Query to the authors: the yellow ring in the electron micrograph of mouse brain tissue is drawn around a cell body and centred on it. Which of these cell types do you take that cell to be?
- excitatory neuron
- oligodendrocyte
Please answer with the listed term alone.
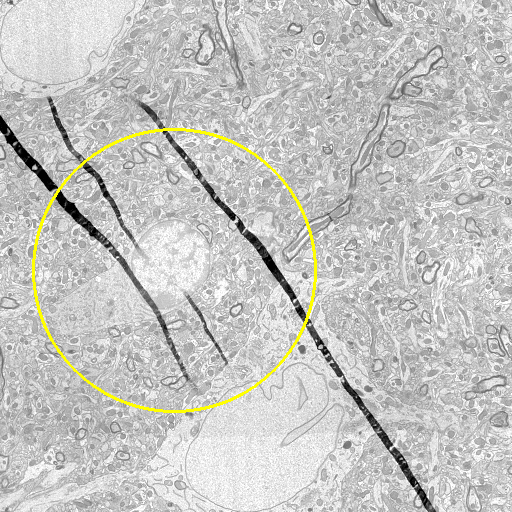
oligodendrocyte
